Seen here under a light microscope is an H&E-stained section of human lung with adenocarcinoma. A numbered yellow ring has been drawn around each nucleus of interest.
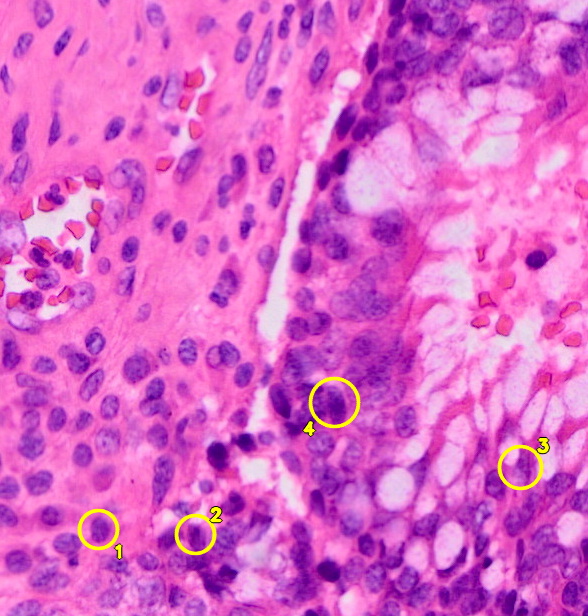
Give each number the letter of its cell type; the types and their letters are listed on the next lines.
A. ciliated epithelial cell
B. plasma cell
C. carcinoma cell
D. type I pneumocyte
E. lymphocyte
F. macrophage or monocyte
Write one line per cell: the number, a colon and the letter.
1: B
2: A
3: A
4: A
